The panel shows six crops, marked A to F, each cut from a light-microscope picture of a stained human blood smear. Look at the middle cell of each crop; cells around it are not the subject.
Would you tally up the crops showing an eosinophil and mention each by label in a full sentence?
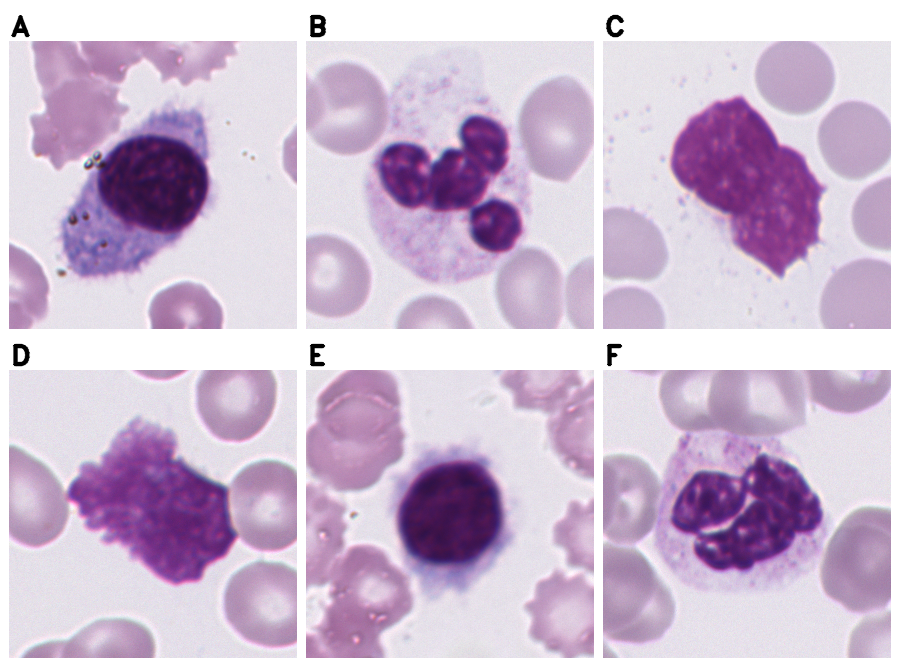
Nowhere among the crops are there eosinophils, so the count is zero.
